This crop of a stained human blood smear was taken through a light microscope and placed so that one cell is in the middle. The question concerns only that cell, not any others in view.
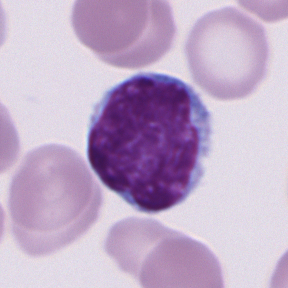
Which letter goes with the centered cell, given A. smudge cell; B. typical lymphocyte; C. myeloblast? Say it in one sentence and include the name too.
The cell centered in the crop is a typical lymphocyte, making option B the correct pick.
